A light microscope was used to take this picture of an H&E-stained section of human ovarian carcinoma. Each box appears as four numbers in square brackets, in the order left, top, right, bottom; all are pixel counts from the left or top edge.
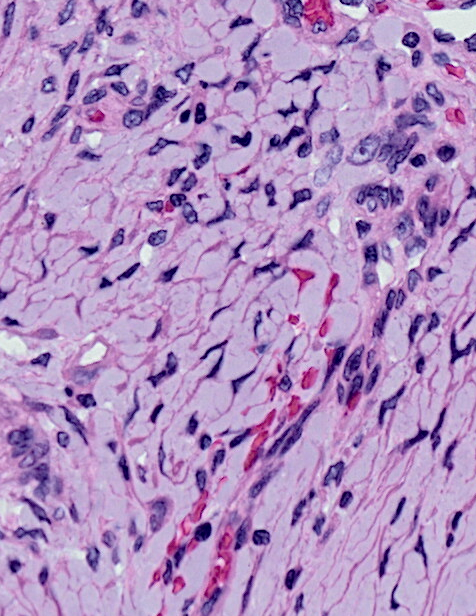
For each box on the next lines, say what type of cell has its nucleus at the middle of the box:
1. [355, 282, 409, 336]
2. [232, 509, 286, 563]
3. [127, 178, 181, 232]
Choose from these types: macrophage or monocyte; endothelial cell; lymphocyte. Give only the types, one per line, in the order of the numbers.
endothelial cell
lymphocyte
endothelial cell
